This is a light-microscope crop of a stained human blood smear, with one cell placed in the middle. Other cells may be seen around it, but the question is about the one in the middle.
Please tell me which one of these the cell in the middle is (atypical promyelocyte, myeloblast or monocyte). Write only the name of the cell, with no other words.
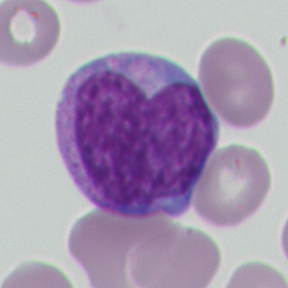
atypical promyelocyte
